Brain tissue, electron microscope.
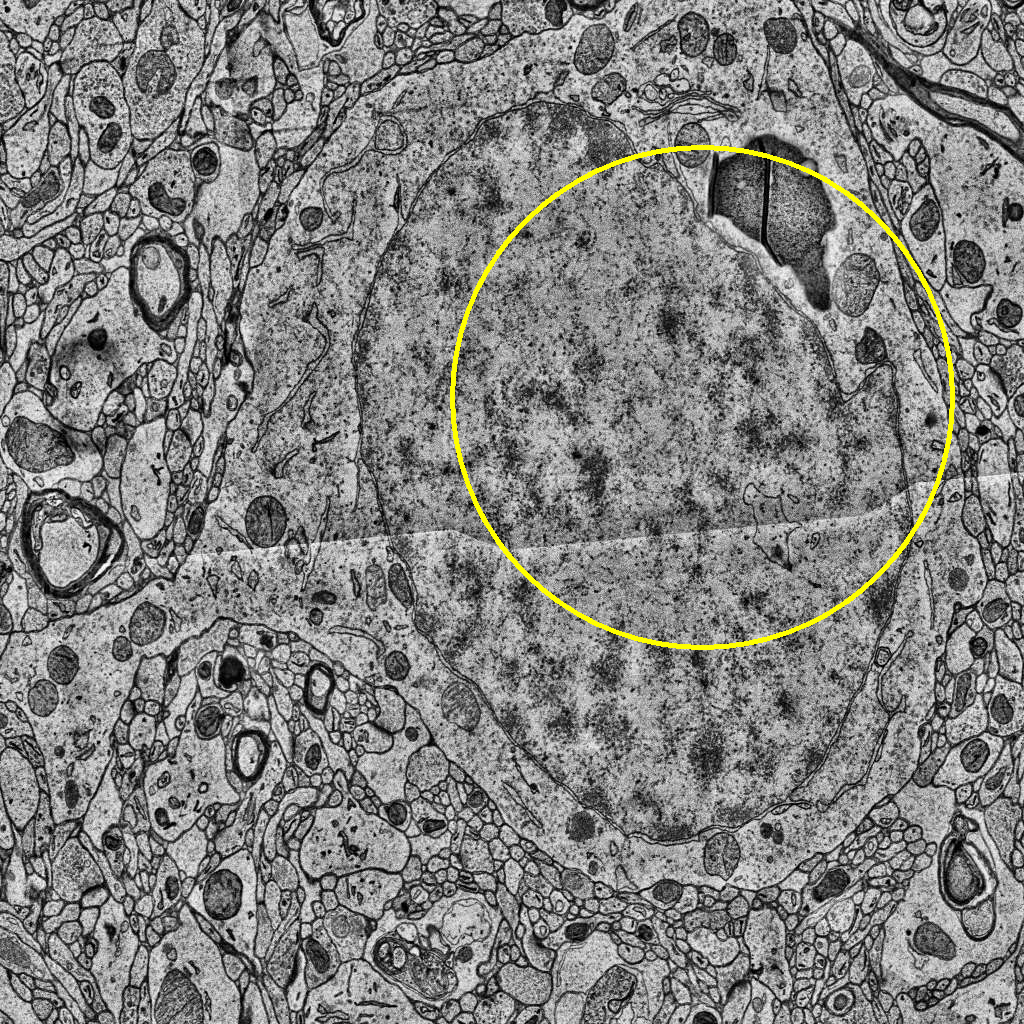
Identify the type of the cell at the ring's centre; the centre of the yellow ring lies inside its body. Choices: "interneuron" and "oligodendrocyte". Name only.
interneuron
